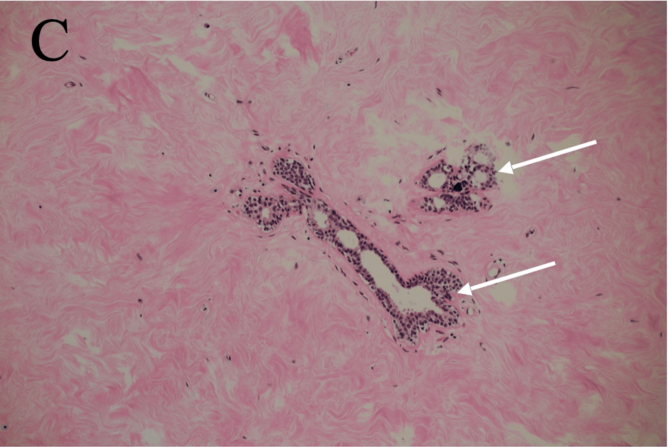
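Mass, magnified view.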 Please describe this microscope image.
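Dense fibrous tissue of wavy pink collagen bundles with sparse spindle nuclei makes up most of the field. In the centre lies a small mammary duct with an open, elongated lumen and, beside it, a small lobular cluster of acini, both lined by cells with dark round nuclei.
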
